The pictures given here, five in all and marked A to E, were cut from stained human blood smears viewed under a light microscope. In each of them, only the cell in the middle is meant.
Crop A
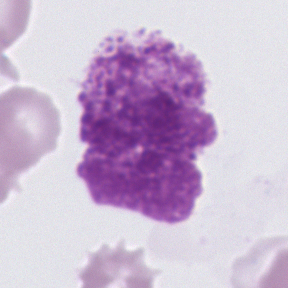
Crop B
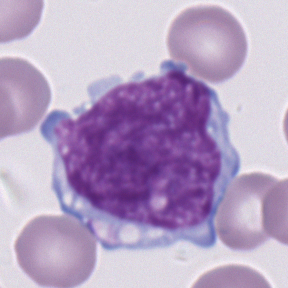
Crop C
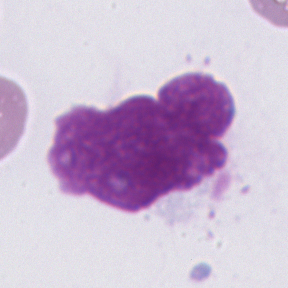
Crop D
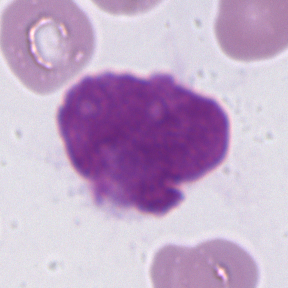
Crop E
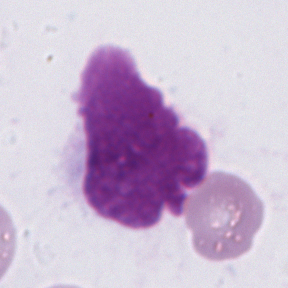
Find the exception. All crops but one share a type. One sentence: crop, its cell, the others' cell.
Crop B shows a myeloblast; by contrast, all the other crops show smudge cells.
